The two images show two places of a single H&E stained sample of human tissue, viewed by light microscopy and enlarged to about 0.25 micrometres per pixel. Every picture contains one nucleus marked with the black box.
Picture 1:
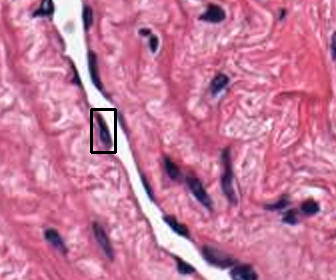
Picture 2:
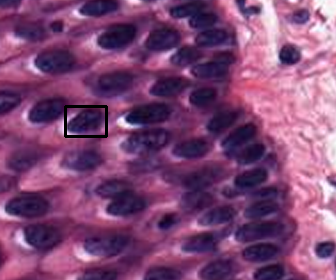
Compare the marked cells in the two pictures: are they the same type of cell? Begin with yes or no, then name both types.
No, the first is an endothelial cell and the second a squamous epithelial cell.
